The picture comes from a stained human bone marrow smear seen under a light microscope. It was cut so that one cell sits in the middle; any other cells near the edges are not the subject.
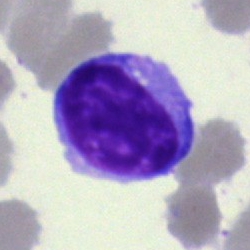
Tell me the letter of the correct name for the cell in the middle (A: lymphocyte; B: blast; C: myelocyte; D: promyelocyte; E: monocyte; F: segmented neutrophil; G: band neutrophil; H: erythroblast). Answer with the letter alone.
A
